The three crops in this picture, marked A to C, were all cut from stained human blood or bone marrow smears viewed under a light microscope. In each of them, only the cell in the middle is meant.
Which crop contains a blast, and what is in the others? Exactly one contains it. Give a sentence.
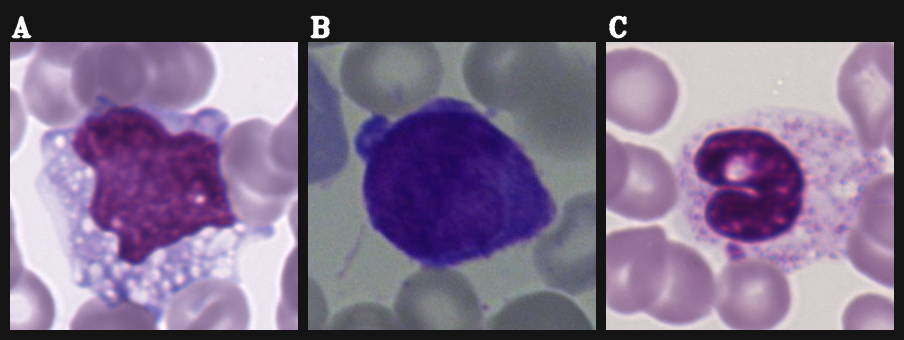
Crop B corresponds to a blast, whereas crop A is a monocyte and crop C is a band neutrophil.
